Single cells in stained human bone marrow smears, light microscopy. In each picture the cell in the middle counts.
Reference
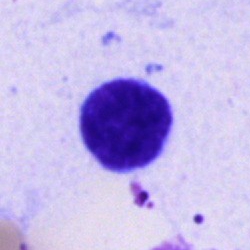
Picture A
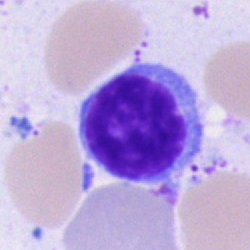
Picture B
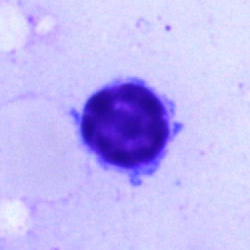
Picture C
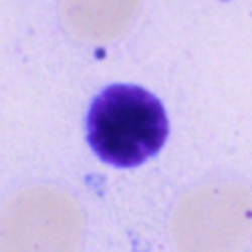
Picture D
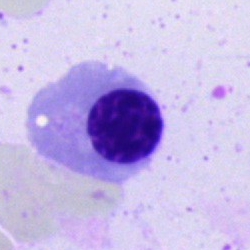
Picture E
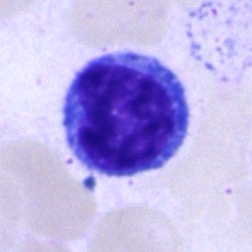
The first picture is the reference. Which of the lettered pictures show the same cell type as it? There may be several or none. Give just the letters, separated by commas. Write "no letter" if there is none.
A, B, C, E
